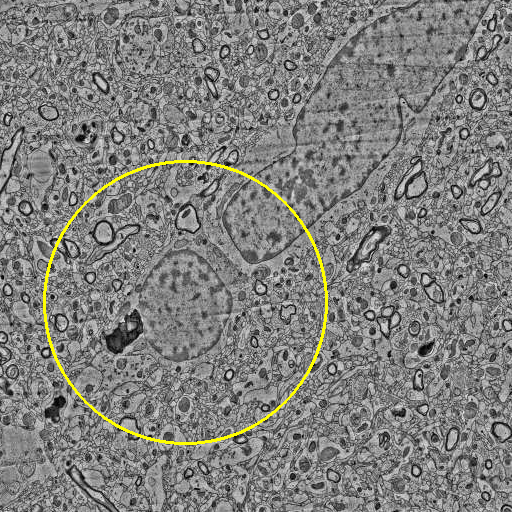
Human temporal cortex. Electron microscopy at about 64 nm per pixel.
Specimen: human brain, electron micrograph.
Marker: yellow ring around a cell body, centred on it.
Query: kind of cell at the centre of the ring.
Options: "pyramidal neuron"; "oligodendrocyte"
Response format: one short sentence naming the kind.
This cell body belongs to an oligodendrocyte.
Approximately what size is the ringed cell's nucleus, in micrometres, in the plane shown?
In this plane the nucleus measures roughly 7 by 6 micrometers.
